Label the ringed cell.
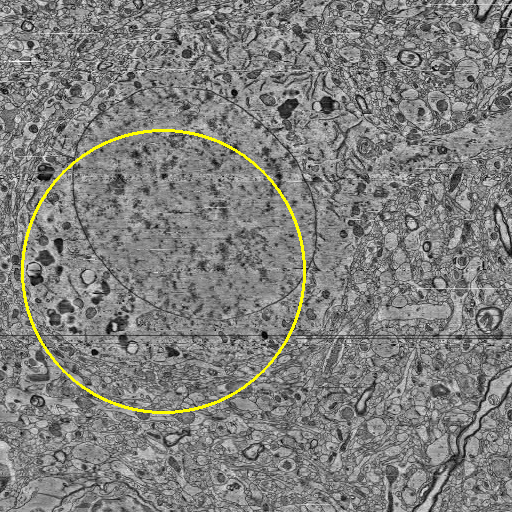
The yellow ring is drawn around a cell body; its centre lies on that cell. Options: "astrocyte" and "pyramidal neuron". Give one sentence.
The ringed cell is a pyramidal neuron.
